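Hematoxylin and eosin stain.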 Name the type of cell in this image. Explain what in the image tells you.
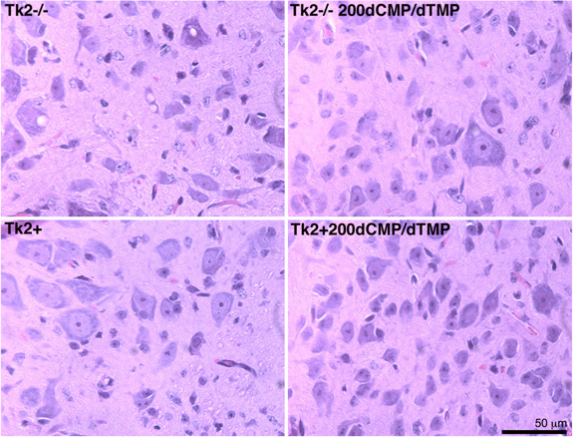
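Large polygonal cell bodies with abundant purple cytoplasm. Round pale nuclei with a single dark central nucleolus. Cells scattered in a pale fibrillar background with smaller dark nuclei between them. That points to this answer: neurons.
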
